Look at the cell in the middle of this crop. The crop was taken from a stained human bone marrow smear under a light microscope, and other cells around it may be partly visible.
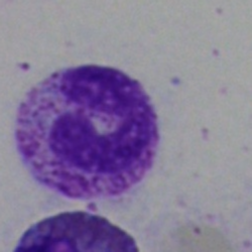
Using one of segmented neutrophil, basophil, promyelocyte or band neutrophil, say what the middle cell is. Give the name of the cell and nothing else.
band neutrophil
